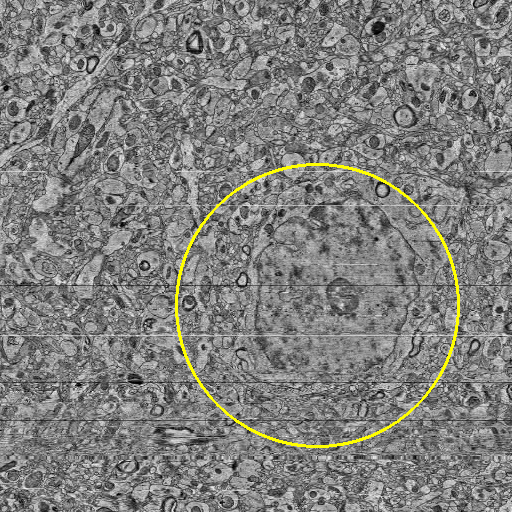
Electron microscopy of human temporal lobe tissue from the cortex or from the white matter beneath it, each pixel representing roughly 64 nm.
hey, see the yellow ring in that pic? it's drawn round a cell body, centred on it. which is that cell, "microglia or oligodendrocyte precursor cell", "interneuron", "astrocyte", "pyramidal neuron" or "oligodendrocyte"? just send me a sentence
The cell in the ring is an interneuron.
